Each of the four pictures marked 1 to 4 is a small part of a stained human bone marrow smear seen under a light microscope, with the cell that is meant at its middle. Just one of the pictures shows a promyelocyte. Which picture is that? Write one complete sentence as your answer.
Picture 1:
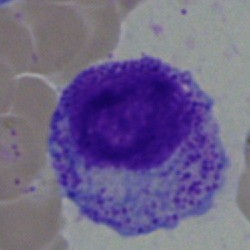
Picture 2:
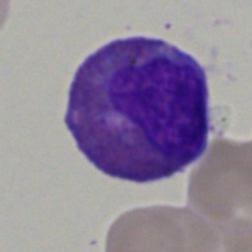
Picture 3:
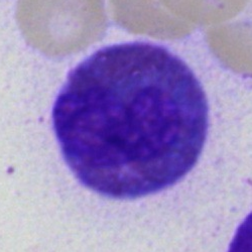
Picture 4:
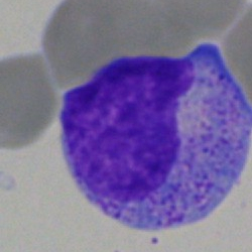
It is picture 4 that shows the promyelocyte.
